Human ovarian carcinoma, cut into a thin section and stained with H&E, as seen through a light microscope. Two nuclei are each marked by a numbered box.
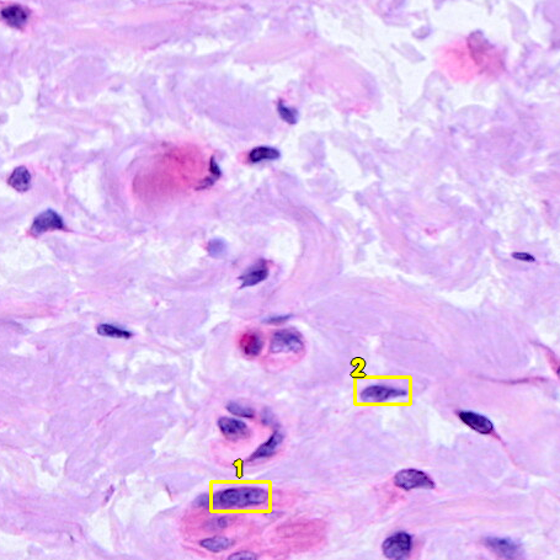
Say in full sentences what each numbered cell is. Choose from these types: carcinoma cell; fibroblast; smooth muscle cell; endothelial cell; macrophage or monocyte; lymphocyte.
Cell 1 is a smooth muscle cell and cell 2 is a fibroblast.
